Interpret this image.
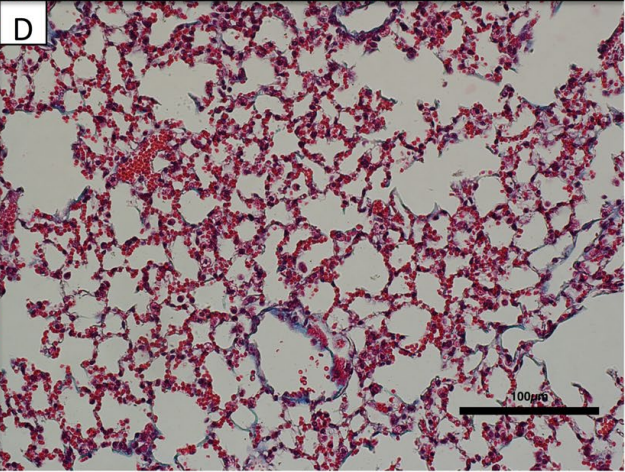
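Lung parenchyma in which thin alveolar septa outline many open, clear air spaces. The septa carry capillaries filled with red-staining erythrocytes and scattered dark purple nuclei, and only a few fine blue-staining fibres lie along the walls and around a small vessel.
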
